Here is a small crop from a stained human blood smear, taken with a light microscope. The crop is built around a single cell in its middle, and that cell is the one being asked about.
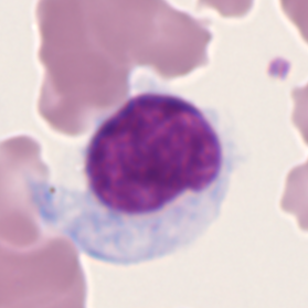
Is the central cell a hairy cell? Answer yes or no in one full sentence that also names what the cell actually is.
Yes, the cell in the central position is a hairy cell.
